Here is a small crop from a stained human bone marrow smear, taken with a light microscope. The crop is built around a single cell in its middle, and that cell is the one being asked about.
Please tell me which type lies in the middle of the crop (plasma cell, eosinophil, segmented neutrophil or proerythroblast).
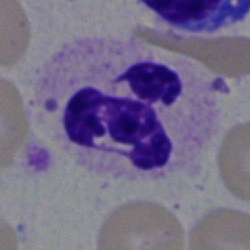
segmented neutrophil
